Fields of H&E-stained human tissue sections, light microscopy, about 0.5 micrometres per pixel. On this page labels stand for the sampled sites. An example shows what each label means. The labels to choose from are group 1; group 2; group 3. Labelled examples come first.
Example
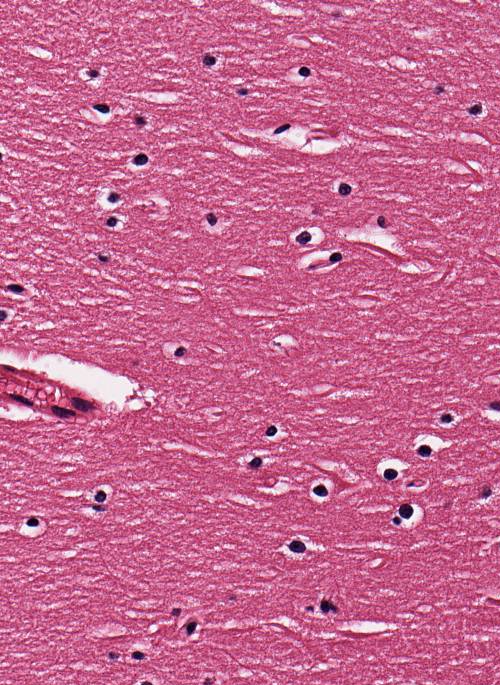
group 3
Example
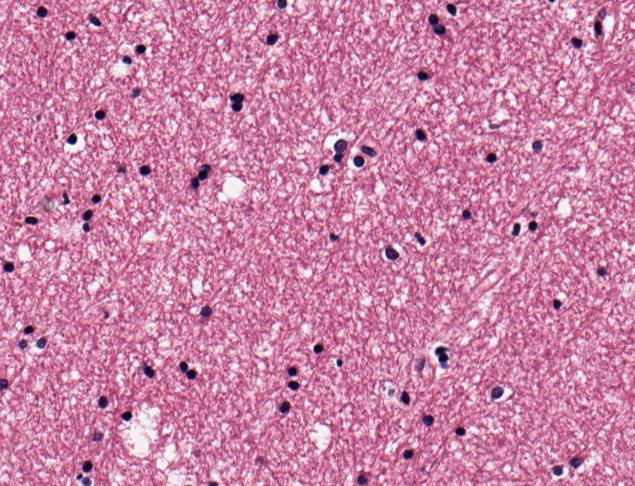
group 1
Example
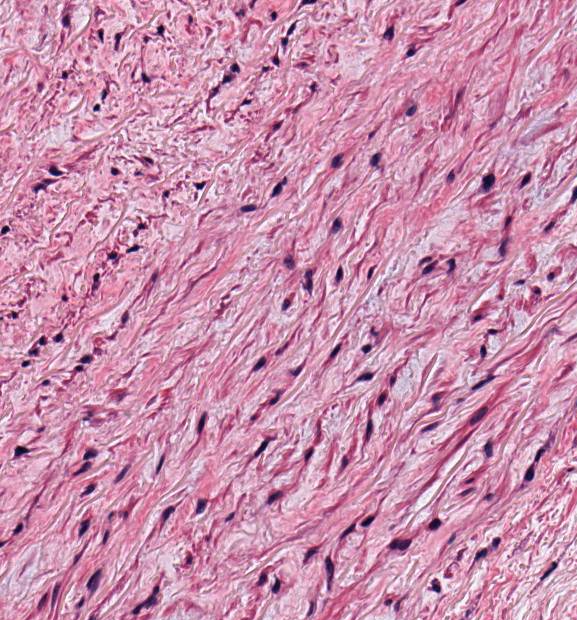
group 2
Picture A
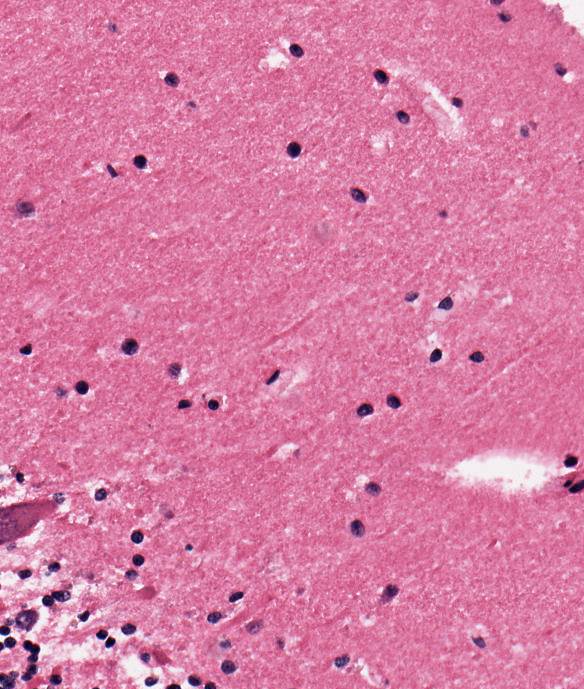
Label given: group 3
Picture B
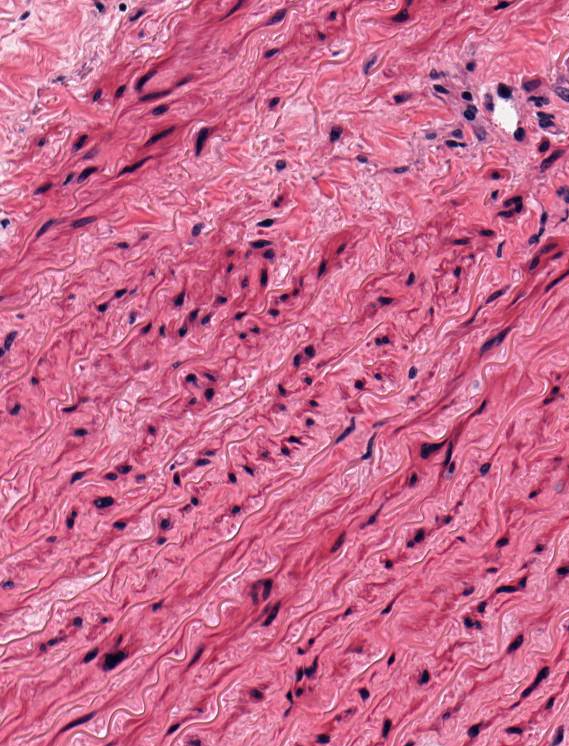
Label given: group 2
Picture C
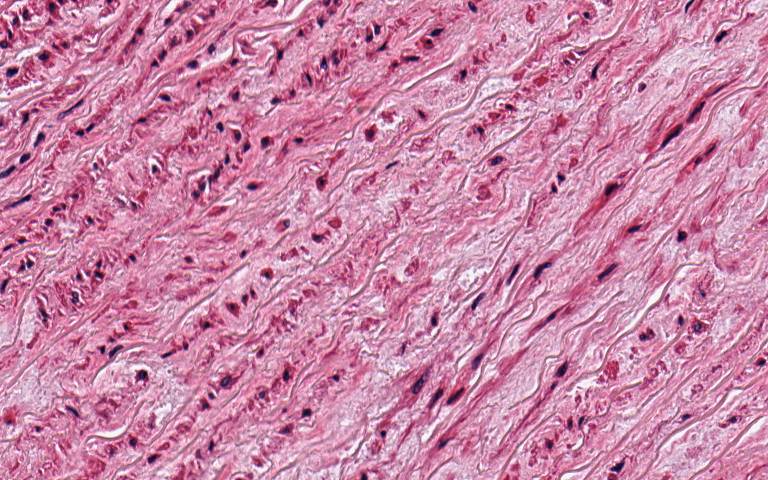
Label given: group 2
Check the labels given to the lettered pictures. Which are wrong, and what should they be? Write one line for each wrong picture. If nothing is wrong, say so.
Every label is right.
